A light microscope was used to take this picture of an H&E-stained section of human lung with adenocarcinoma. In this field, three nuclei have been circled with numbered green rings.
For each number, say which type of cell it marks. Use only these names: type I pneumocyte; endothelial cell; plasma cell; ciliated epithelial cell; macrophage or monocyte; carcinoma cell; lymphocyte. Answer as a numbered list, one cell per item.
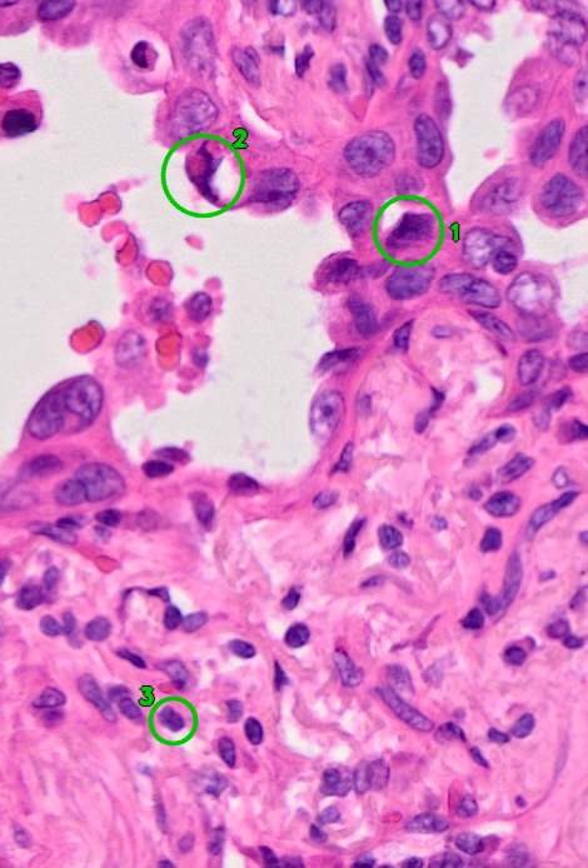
1. carcinoma cell
2. carcinoma cell
3. lymphocyte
